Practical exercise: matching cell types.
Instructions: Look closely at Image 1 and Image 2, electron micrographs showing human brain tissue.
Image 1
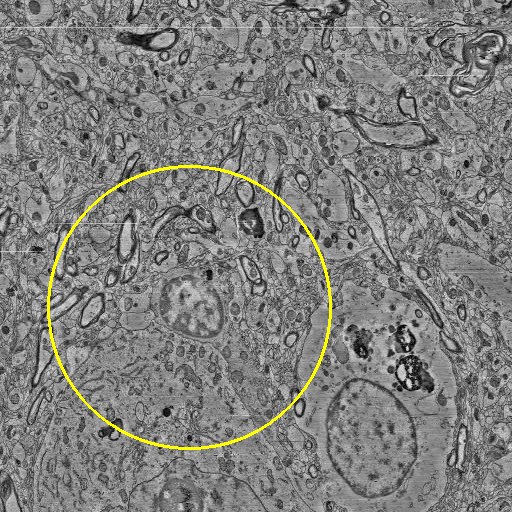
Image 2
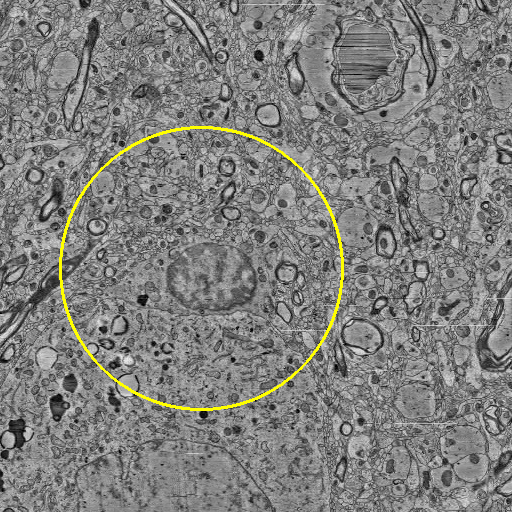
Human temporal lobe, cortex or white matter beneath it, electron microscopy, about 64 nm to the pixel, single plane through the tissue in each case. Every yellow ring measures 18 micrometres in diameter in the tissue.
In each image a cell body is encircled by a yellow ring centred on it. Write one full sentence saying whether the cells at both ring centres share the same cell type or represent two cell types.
Across Image 1 and Image 2, the cells at the ring centres share the same cell type.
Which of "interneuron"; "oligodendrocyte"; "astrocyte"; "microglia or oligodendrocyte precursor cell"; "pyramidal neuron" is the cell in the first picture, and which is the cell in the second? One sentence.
The second cell is an oligodendrocyte, just as the first is.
